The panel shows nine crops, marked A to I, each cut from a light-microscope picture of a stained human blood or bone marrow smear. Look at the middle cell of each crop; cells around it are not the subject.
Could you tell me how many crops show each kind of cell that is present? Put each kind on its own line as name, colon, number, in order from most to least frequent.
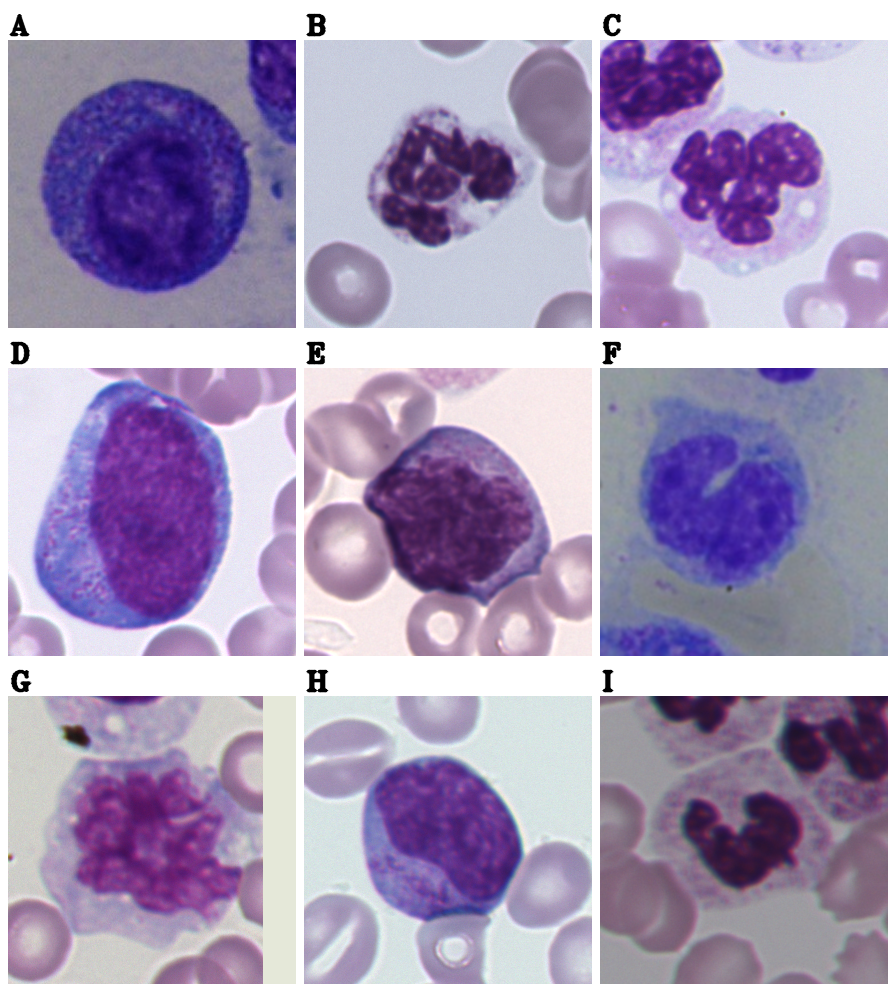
promyelocyte: 4
segmented neutrophil: 3
monocyte: 2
